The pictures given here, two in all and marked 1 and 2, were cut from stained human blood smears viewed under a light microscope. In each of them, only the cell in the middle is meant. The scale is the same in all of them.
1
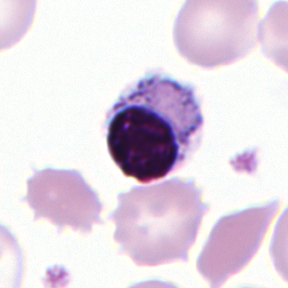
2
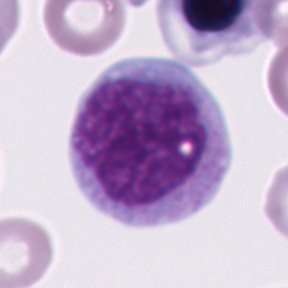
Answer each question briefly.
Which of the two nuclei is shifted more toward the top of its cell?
2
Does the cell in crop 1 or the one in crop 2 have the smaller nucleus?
1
